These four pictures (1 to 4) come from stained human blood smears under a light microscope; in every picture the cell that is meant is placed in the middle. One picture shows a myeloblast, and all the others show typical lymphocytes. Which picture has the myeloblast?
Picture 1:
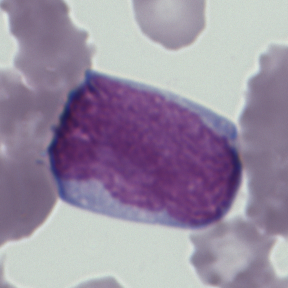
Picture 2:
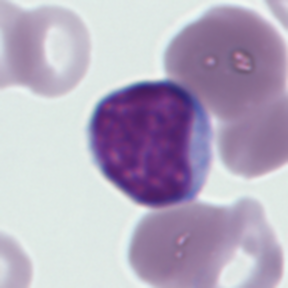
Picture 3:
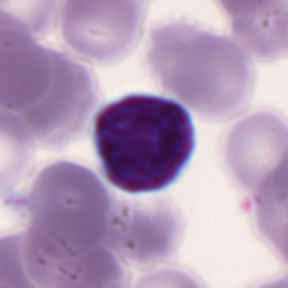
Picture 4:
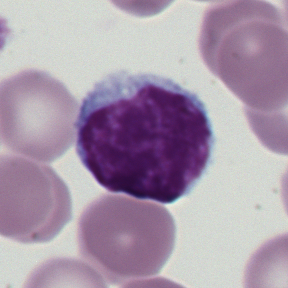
1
